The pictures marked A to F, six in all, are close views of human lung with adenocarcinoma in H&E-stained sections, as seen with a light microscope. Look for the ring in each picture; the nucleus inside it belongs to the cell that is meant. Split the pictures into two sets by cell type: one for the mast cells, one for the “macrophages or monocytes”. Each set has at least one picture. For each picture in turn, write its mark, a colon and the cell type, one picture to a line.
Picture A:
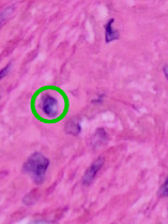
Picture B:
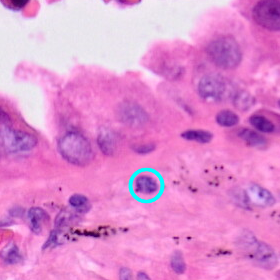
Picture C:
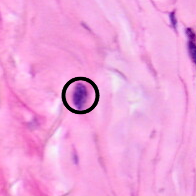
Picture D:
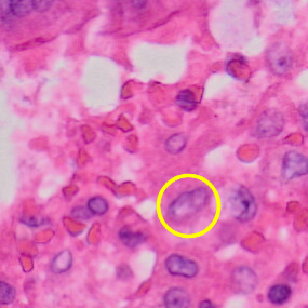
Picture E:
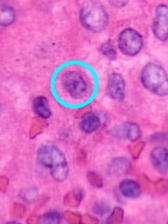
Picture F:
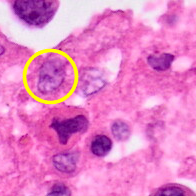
A: mast cell
B: mast cell
C: mast cell
D: macrophage or monocyte
E: macrophage or monocyte
F: macrophage or monocyte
